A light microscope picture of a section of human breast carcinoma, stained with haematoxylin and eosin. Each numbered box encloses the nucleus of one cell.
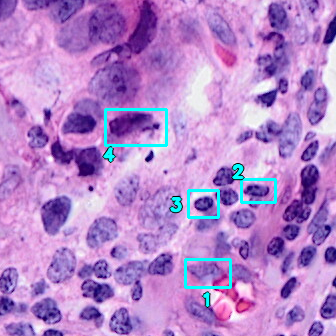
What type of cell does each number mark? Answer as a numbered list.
1. endothelial cell
2. lymphocyte
3. lymphocyte
4. carcinoma cell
